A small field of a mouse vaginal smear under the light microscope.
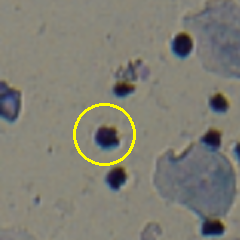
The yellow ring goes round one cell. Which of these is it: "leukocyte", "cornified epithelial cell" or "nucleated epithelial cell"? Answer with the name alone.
leukocyte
